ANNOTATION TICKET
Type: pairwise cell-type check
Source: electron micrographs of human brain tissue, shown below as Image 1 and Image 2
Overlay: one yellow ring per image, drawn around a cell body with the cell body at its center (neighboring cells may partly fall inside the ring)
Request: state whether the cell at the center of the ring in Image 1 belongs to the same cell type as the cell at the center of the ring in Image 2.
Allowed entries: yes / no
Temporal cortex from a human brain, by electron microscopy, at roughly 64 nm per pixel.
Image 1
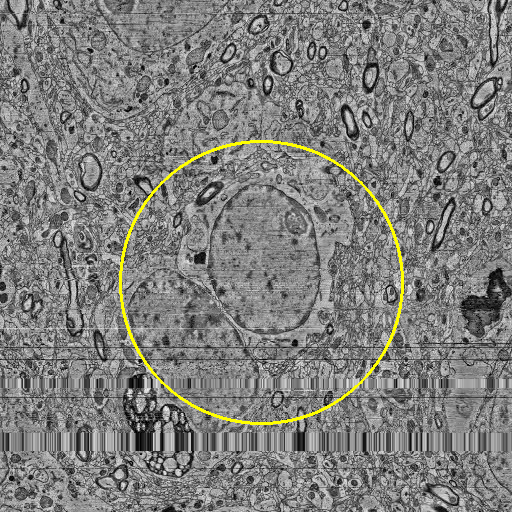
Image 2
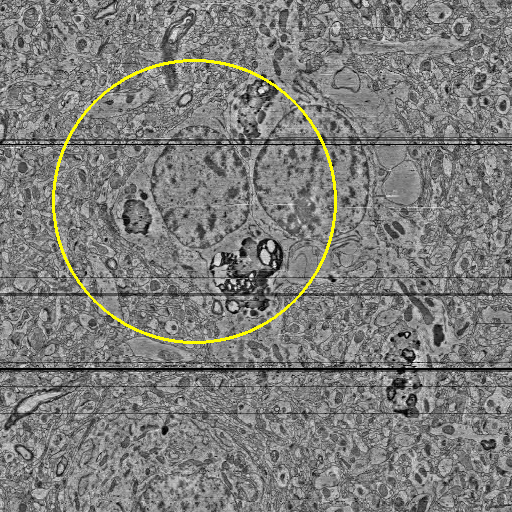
yes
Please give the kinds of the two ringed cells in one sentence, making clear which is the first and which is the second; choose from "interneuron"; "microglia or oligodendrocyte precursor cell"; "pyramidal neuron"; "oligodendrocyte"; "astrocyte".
Both pictures show an astrocyte at the centre of the ring.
